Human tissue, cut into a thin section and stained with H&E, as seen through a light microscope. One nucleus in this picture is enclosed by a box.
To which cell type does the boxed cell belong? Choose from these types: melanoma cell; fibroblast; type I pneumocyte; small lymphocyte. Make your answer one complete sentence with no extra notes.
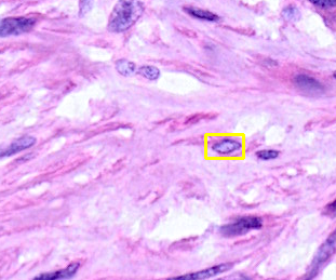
The expected answer is simply that the boxed cell is a fibroblast.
